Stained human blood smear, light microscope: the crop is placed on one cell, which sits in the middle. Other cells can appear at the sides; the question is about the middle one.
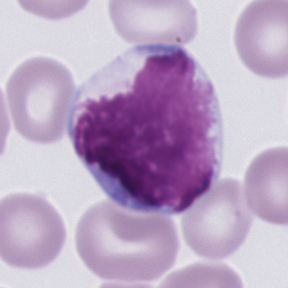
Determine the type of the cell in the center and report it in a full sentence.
Regarding the central cell, it is a large granular lymphocyte.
